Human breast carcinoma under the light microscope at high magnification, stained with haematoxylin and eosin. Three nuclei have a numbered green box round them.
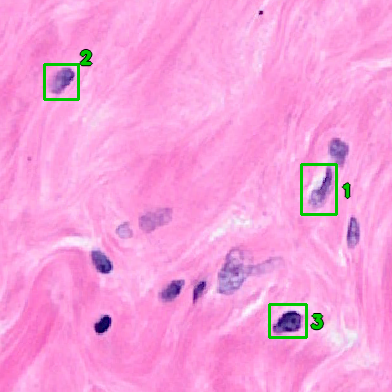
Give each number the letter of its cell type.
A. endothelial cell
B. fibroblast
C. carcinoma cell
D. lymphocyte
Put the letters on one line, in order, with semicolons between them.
B; D; D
